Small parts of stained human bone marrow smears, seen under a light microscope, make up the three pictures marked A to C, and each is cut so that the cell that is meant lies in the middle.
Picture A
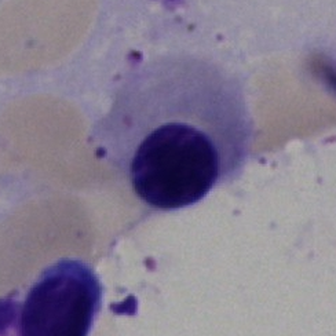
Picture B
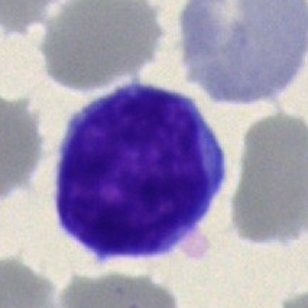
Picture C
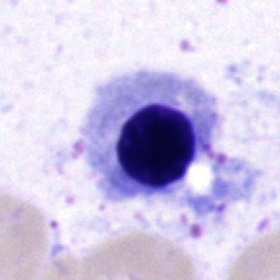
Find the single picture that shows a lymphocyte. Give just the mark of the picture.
B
